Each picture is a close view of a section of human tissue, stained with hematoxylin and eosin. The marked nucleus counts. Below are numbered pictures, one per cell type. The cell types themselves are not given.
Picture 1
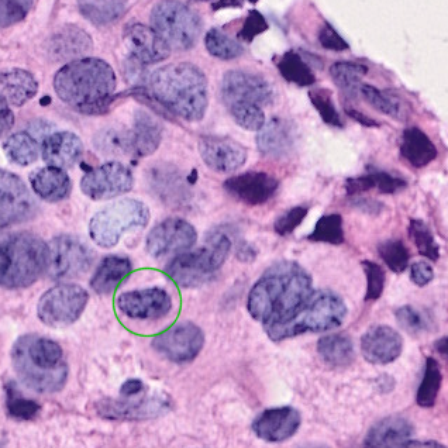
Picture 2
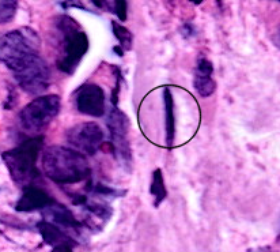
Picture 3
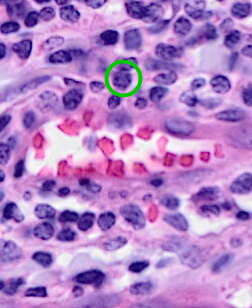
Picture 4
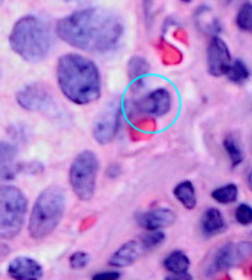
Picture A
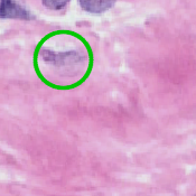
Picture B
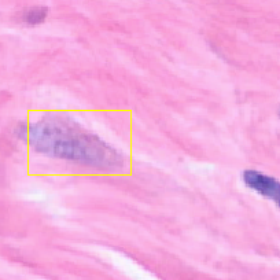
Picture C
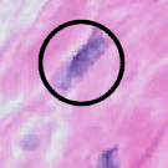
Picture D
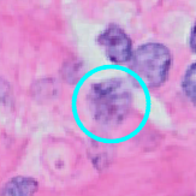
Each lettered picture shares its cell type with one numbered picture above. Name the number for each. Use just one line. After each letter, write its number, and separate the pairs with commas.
A 2, B 2, C 2, D 1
